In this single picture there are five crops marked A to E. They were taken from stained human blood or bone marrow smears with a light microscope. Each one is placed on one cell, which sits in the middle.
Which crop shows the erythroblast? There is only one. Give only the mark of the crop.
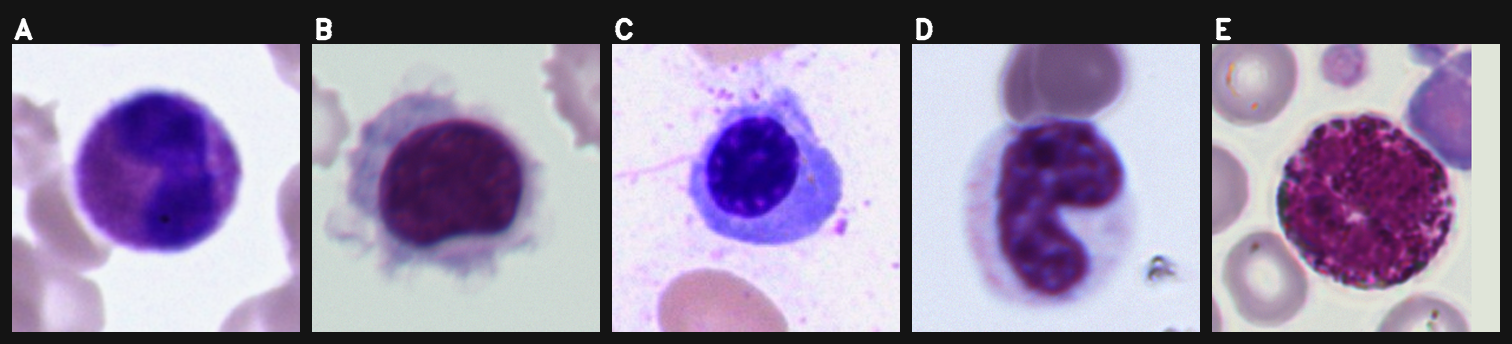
C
